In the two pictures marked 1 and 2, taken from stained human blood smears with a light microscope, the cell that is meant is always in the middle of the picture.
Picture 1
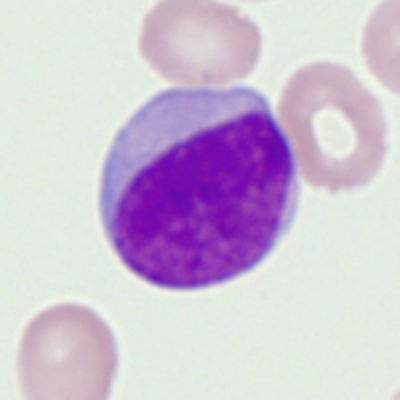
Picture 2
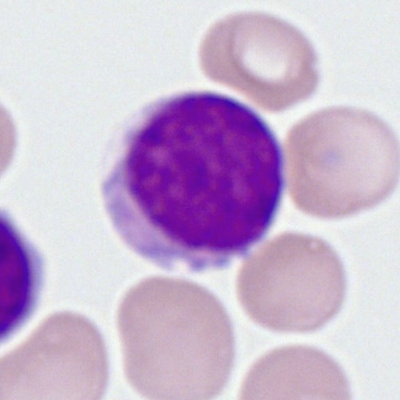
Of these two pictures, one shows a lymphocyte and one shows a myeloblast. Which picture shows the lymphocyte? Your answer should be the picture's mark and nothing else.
2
